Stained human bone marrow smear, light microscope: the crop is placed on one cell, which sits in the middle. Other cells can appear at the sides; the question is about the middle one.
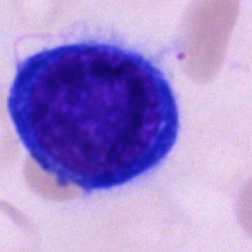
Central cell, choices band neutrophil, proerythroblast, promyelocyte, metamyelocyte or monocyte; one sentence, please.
On this slide crop, the central cell is a proerythroblast.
